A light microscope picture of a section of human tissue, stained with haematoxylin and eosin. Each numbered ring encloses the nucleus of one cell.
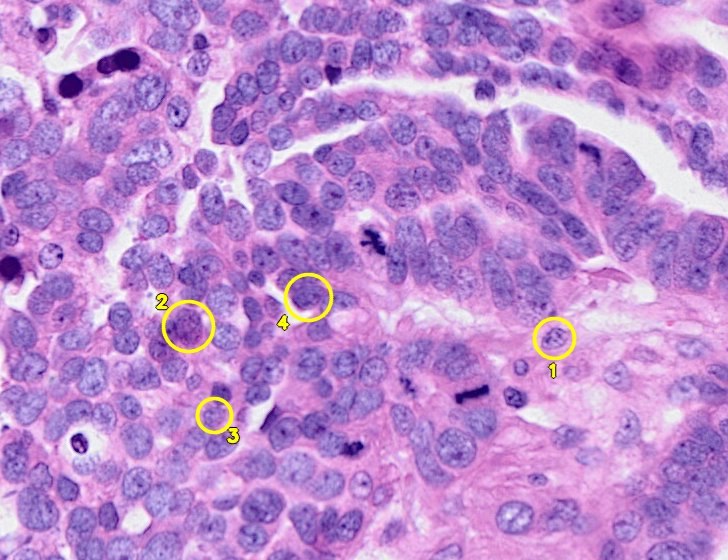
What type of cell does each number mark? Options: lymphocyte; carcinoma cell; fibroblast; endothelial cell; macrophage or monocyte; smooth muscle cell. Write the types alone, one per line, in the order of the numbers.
macrophage or monocyte
carcinoma cell
carcinoma cell
carcinoma cell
